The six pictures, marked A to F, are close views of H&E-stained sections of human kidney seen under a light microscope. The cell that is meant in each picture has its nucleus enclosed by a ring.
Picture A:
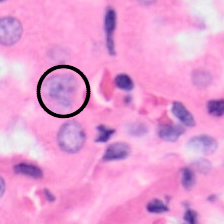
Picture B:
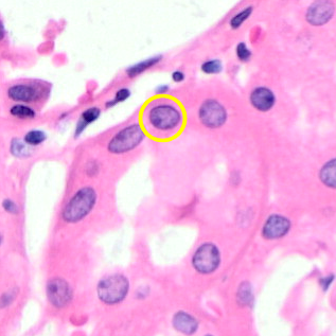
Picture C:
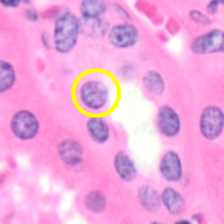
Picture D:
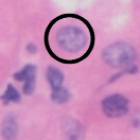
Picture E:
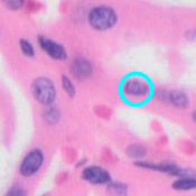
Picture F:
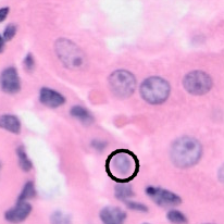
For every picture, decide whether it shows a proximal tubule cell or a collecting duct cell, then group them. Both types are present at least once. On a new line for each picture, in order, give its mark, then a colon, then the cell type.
A: proximal tubule cell
B: proximal tubule cell
C: collecting duct cell
D: proximal tubule cell
E: collecting duct cell
F: collecting duct cell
